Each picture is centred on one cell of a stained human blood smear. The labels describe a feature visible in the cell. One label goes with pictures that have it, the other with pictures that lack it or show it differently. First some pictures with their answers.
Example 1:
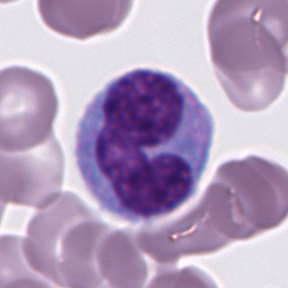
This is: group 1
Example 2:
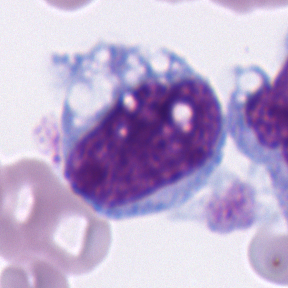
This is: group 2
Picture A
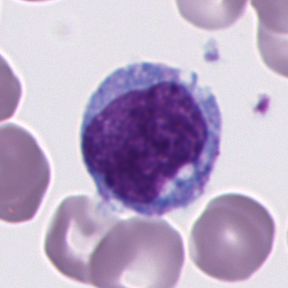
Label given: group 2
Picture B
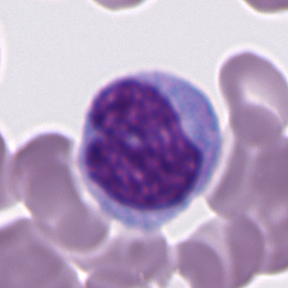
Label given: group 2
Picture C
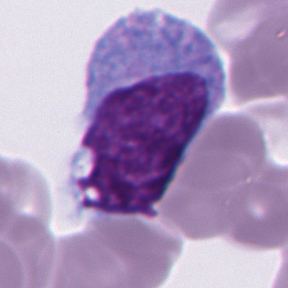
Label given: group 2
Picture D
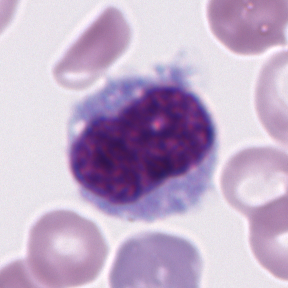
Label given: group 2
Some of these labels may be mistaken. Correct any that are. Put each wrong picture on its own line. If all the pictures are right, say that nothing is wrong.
Every label is right.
